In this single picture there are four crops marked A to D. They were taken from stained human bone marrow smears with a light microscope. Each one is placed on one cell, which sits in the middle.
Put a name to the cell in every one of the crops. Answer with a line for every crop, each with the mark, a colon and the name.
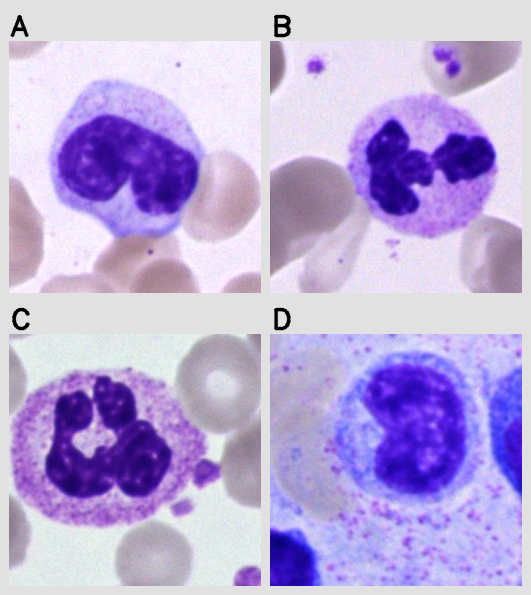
A: metamyelocyte
B: segmented neutrophil
C: segmented neutrophil
D: metamyelocyte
